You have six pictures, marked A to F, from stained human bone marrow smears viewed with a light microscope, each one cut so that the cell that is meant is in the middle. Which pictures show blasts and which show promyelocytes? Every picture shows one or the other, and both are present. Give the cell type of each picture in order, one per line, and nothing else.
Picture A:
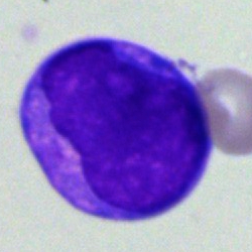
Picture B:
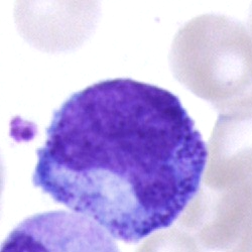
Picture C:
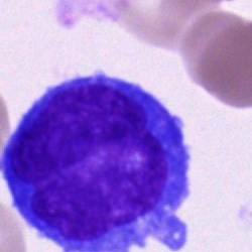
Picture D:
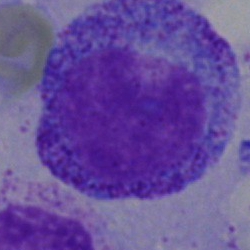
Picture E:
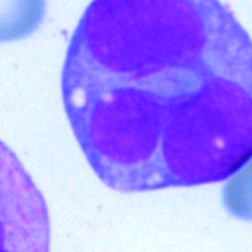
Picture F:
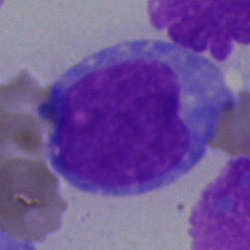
blast
promyelocyte
blast
promyelocyte
blast
blast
